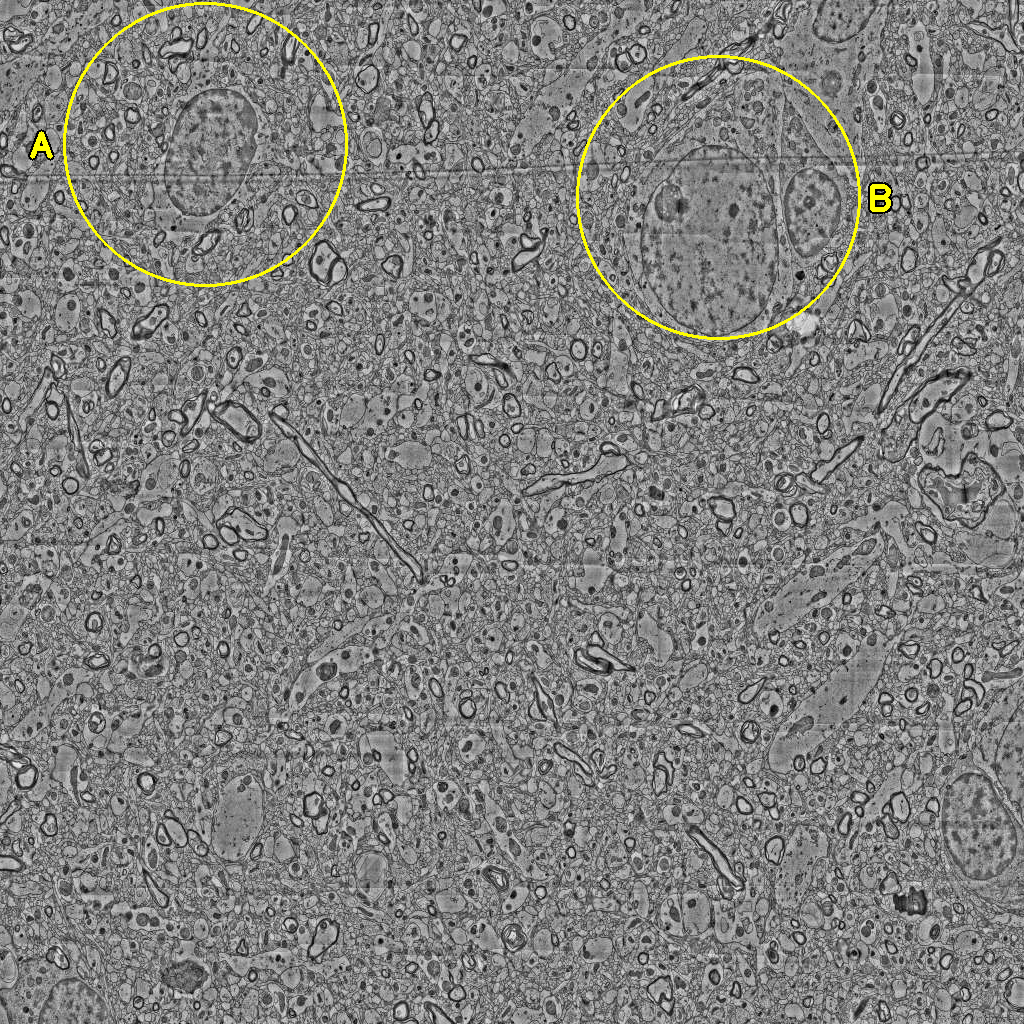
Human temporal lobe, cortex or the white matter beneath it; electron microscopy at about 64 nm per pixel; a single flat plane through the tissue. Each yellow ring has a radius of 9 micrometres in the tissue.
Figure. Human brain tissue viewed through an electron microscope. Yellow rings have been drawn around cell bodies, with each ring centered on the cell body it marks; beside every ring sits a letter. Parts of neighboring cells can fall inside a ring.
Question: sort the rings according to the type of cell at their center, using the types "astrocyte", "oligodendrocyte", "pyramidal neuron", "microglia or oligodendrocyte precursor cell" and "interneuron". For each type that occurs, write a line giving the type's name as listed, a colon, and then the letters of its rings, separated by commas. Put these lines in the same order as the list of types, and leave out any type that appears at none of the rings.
pyramidal neuron: B
microglia or oligodendrocyte precursor cell: A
